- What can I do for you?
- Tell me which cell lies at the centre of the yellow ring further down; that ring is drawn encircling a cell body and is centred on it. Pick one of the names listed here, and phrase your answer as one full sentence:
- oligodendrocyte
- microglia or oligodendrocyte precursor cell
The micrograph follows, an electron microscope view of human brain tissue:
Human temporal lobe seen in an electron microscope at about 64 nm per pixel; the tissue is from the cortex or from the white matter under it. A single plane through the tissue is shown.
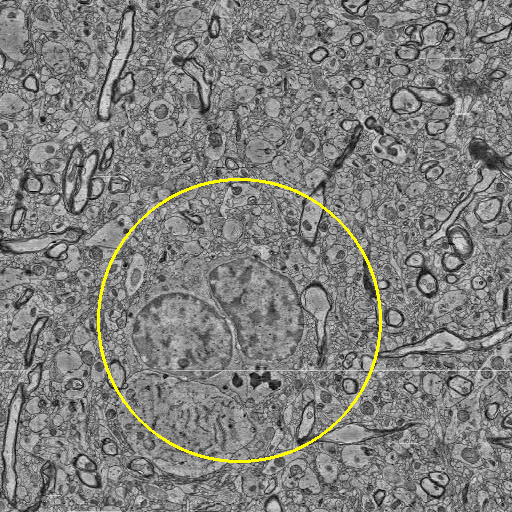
The cell whose body lies at the centre of the yellow ring is an oligodendrocyte.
